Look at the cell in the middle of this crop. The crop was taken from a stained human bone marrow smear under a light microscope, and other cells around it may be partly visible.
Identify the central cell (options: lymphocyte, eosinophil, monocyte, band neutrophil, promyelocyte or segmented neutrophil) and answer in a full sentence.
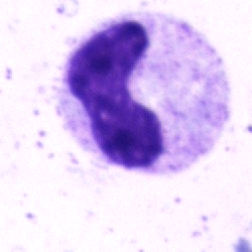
The cell around which this crop is centred is a band neutrophil.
